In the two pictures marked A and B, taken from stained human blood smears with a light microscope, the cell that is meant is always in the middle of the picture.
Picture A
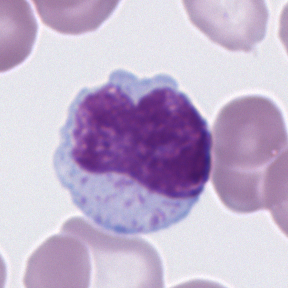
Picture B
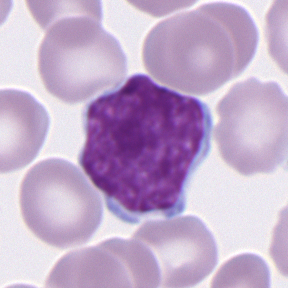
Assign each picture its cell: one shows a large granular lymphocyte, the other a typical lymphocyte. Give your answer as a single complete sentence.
Picture A shows a large granular lymphocyte and picture B shows a typical lymphocyte.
